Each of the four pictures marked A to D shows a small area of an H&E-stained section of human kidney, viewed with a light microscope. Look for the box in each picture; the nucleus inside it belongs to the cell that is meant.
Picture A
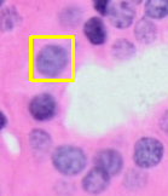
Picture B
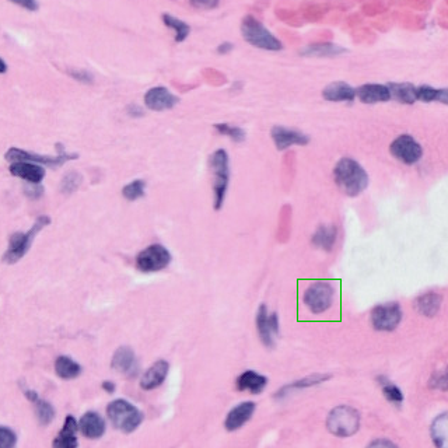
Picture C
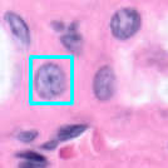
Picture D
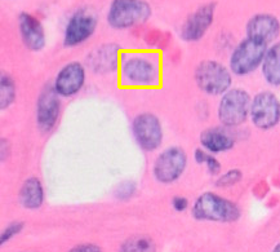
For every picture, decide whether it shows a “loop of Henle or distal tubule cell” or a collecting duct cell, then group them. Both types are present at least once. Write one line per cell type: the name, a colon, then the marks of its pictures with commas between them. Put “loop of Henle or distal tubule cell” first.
loop of Henle or distal tubule cell: B, C
collecting duct cell: A, D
